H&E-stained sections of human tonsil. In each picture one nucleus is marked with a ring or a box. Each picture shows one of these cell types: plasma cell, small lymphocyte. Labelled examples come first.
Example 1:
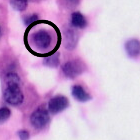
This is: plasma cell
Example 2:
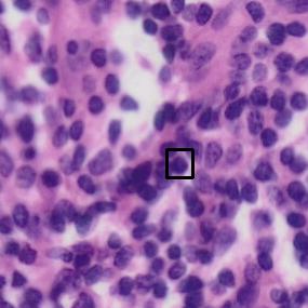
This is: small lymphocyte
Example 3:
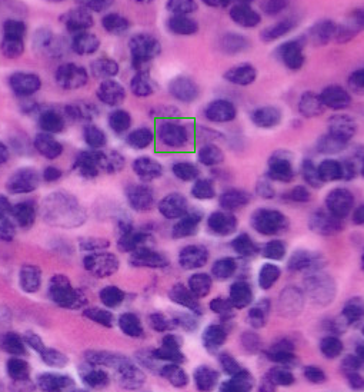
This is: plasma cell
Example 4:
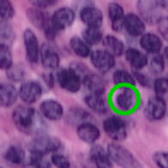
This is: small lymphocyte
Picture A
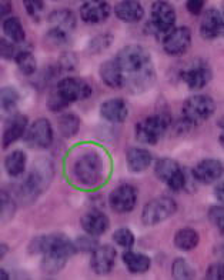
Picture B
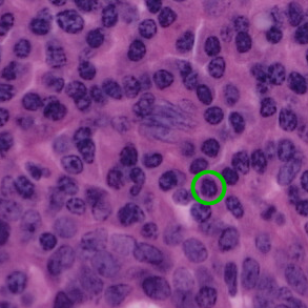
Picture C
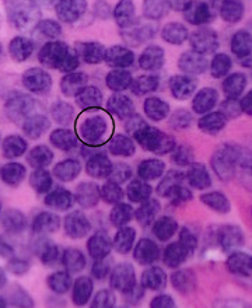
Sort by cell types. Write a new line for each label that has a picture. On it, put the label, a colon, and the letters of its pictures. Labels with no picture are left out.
plasma cell: A, B
small lymphocyte: C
